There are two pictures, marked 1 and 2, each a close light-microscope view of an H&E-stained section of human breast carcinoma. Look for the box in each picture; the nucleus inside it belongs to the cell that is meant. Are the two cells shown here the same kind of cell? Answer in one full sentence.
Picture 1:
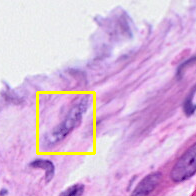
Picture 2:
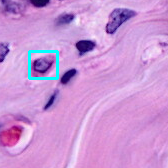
No, picture 1 shows a fibroblast and picture 2 shows a mast cell.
